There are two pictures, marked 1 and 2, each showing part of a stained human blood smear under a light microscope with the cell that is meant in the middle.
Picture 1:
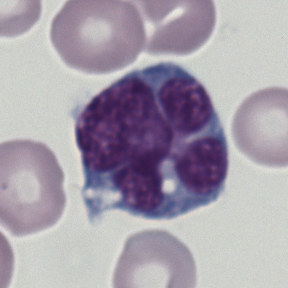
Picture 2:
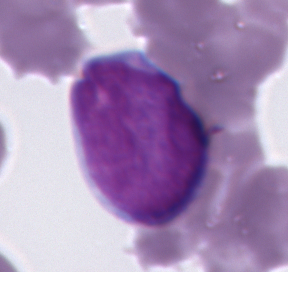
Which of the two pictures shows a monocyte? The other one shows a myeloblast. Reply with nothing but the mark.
1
